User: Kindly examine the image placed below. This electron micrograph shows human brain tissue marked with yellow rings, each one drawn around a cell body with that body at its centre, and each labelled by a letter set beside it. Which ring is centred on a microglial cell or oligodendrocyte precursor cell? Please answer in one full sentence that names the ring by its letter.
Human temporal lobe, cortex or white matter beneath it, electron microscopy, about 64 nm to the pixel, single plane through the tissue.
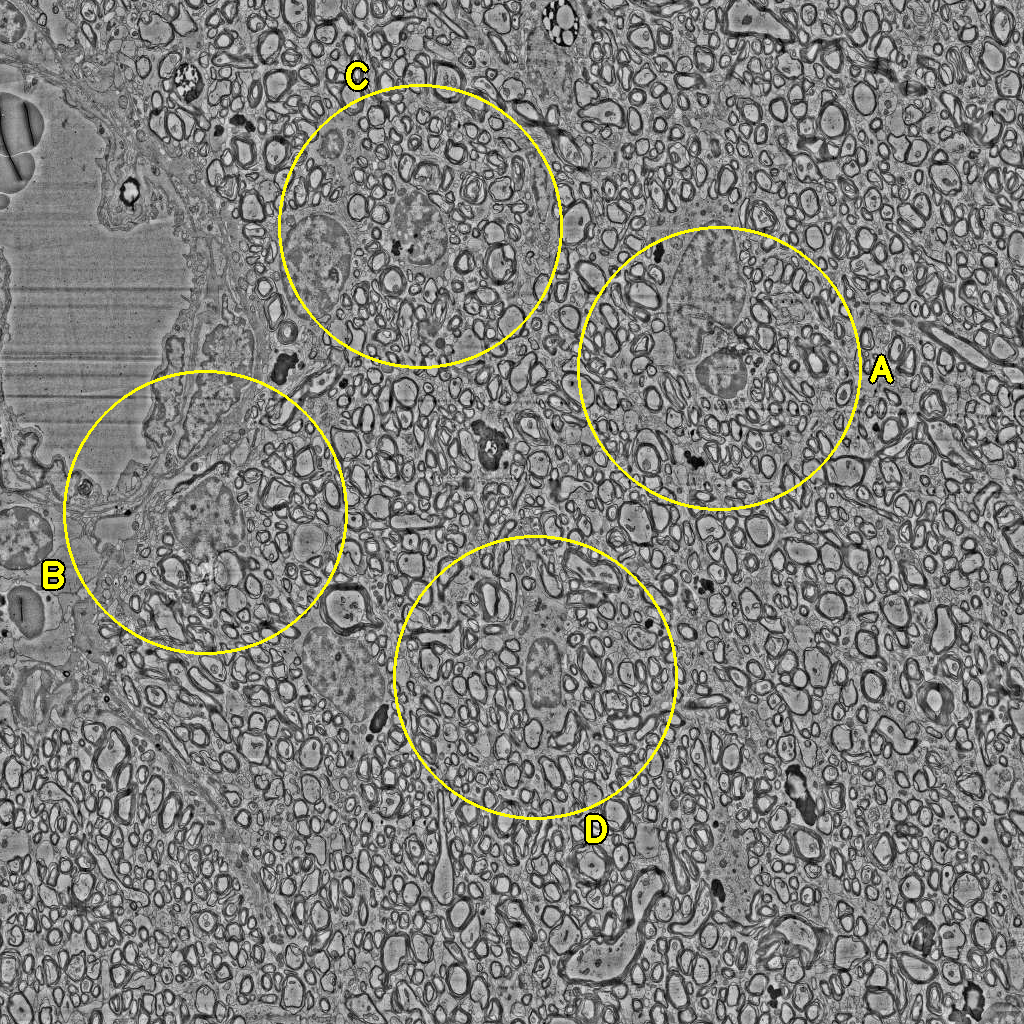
Ring A is the one drawn around the cell asked for.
